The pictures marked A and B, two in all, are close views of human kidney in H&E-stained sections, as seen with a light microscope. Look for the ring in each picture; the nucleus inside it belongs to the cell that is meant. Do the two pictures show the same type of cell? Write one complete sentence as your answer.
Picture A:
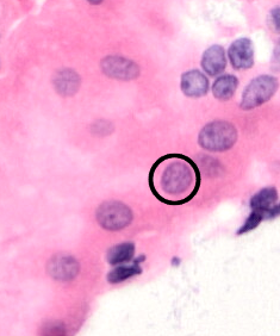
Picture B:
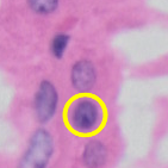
Yes; the cells in both pictures are proximal tubule cells.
